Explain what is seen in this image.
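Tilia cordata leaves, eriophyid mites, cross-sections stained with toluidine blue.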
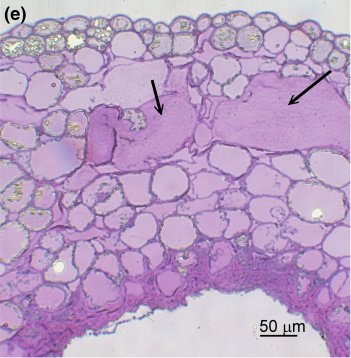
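An enlarged part of the gall wall shows a row of small epidermal cells at the top, over a parenchyma of large, rounded, thin-walled cells, many of them clear and some holding granular inclusions. Among them lie large idioblasts filled with homogeneous pink-purple material. Toward the lower edge, the cells become smaller and more densely stained where the wall lines the inner chamber.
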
